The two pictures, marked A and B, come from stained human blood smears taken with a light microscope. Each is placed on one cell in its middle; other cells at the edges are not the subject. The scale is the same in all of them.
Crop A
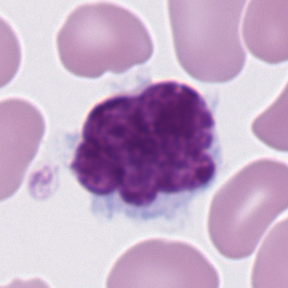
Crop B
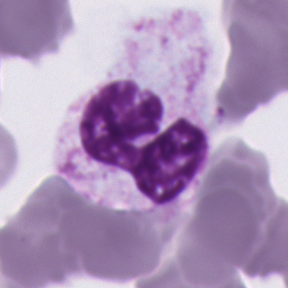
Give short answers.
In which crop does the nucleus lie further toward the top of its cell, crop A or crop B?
A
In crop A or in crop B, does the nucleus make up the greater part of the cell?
A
